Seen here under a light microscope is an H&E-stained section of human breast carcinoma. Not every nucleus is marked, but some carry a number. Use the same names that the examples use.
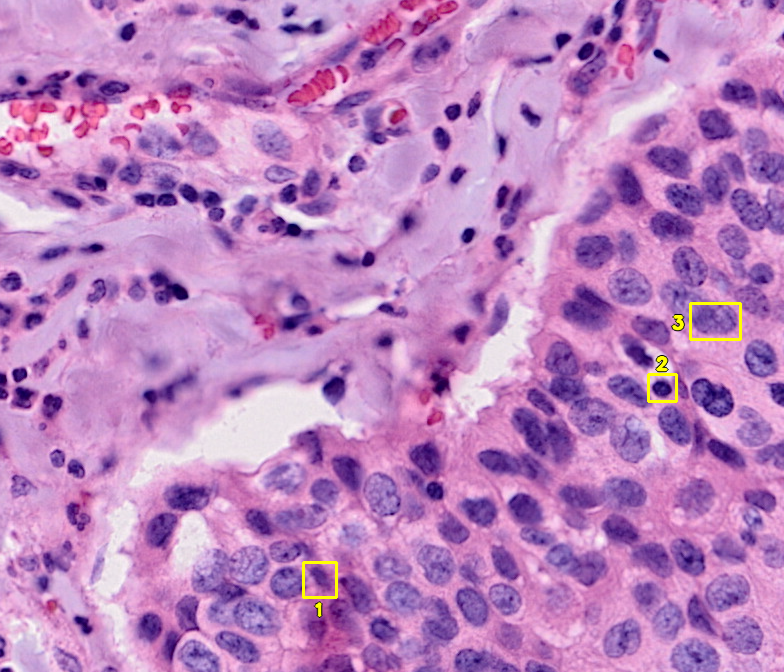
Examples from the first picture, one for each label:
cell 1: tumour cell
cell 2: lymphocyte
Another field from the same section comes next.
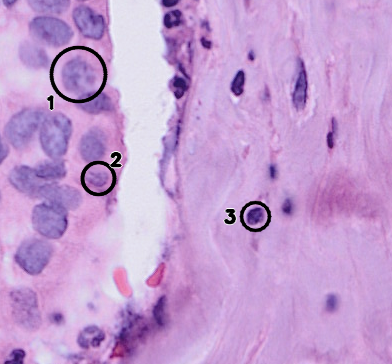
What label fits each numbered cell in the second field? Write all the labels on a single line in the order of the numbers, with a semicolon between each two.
tumour cell; tumour cell; lymphocyte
